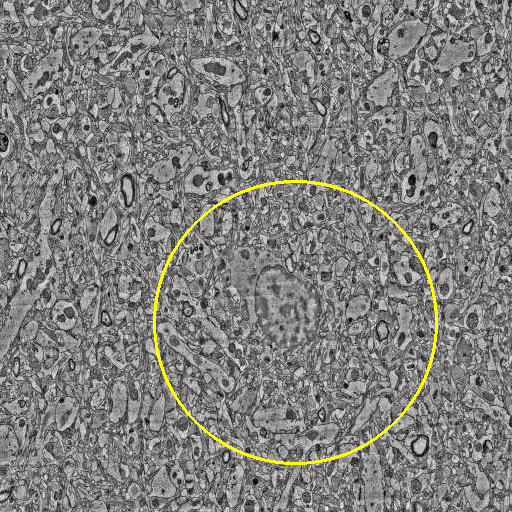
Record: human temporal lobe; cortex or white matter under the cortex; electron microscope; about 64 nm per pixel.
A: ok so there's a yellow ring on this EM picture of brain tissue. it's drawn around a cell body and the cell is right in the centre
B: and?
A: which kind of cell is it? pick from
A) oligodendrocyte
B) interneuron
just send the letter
A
